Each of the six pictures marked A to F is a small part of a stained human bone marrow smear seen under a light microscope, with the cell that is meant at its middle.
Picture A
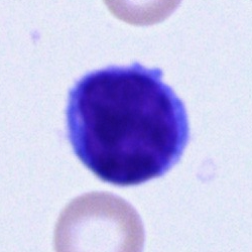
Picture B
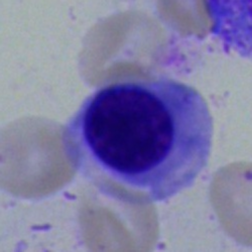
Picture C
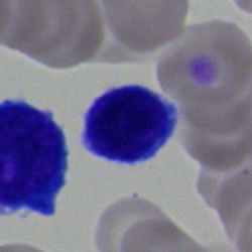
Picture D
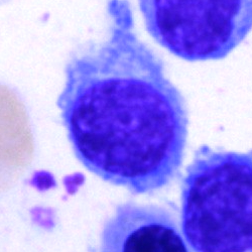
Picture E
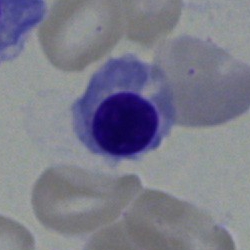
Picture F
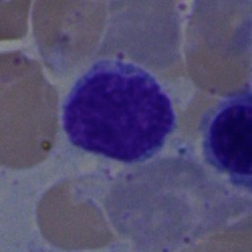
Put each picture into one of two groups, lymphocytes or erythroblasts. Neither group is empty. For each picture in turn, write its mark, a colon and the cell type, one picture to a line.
A: lymphocyte
B: erythroblast
C: lymphocyte
D: lymphocyte
E: erythroblast
F: lymphocyte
